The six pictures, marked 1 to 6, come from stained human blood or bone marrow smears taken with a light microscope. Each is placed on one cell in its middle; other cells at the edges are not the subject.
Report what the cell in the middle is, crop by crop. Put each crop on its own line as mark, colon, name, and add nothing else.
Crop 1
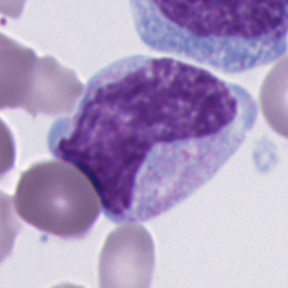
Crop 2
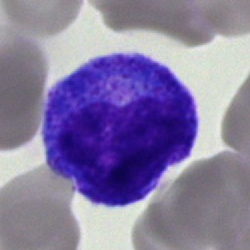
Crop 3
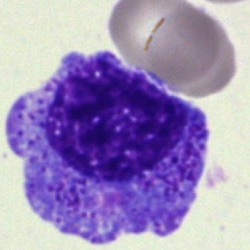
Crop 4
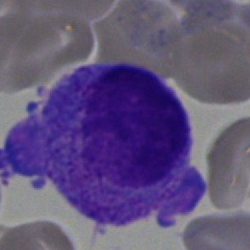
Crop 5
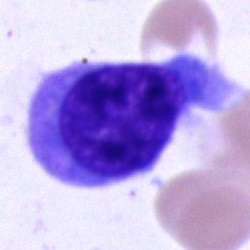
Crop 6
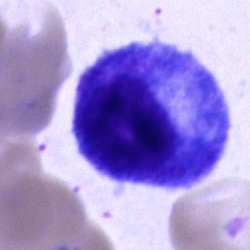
1: promyelocyte
2: promyelocyte
3: promyelocyte
4: blast
5: promyelocyte
6: promyelocyte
